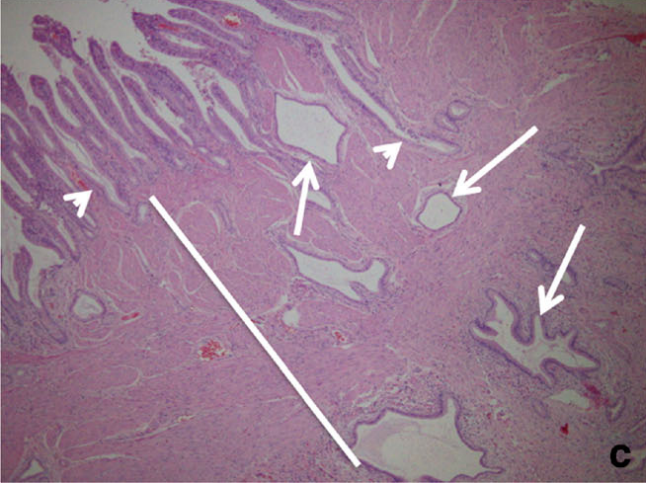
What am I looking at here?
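This is the gallbladder wall at low power, with crowded mucosal folds lined by epithelium along the upper left and a thick band of pink muscular tissue beneath. Within that muscular band lie several open, rounded or branching spaces, each lined by a thin layer of epithelium, lying well beneath the surface.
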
